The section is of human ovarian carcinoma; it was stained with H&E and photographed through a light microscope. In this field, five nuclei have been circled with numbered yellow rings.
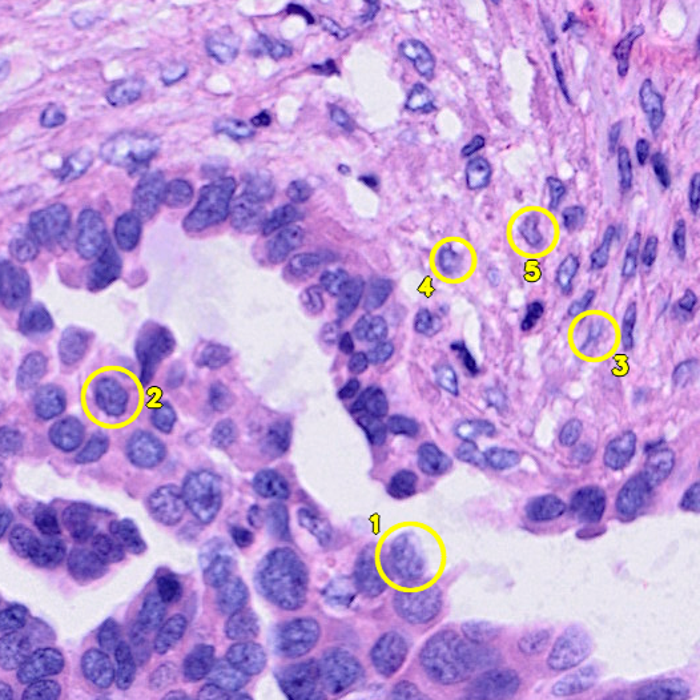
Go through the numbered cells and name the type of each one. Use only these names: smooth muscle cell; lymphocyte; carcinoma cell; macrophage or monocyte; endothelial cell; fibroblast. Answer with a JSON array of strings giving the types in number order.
["carcinoma cell", "carcinoma cell", "fibroblast", "fibroblast", "fibroblast"]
